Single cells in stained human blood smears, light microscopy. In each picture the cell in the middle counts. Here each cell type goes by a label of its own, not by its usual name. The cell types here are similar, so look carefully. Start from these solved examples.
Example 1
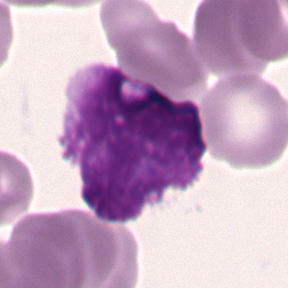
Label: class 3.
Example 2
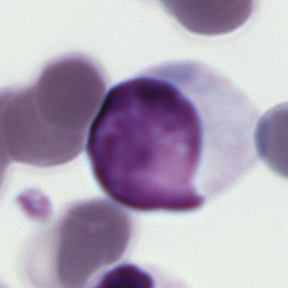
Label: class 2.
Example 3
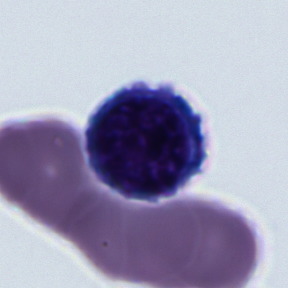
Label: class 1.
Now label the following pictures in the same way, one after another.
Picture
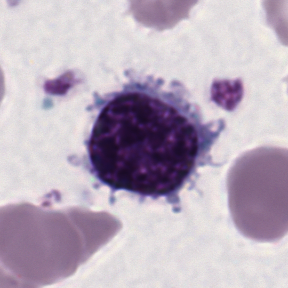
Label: class 1.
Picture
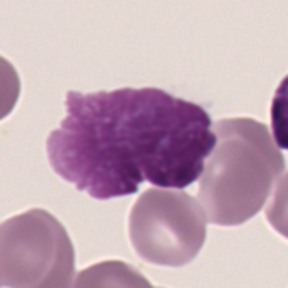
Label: class 3.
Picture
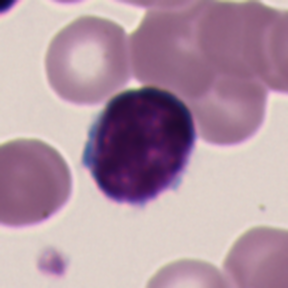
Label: class 2.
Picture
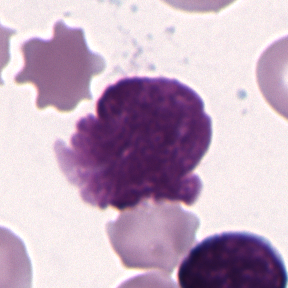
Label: class 3.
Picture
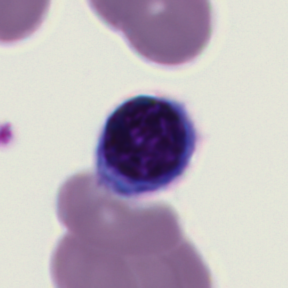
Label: class 1.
